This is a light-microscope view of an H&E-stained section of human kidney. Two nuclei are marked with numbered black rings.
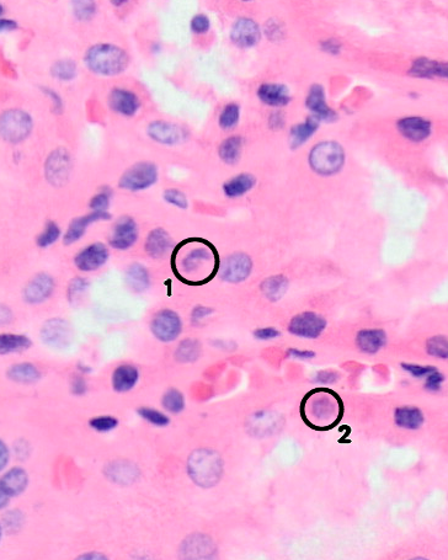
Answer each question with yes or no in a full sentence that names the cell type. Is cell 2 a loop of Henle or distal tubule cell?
No, the cell at marker 2 is not a loop of Henle or distal tubule cell; it is a proximal tubule cell.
